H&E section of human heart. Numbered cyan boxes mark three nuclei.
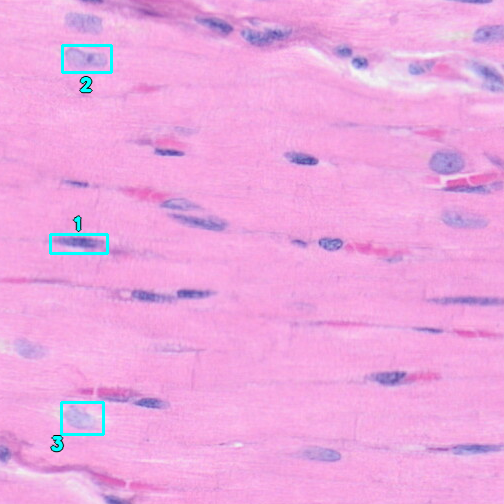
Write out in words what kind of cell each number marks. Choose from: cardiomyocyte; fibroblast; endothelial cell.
Cell 1 is an endothelial cell, cell 2 is a cardiomyocyte and cell 3 is a cardiomyocyte.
